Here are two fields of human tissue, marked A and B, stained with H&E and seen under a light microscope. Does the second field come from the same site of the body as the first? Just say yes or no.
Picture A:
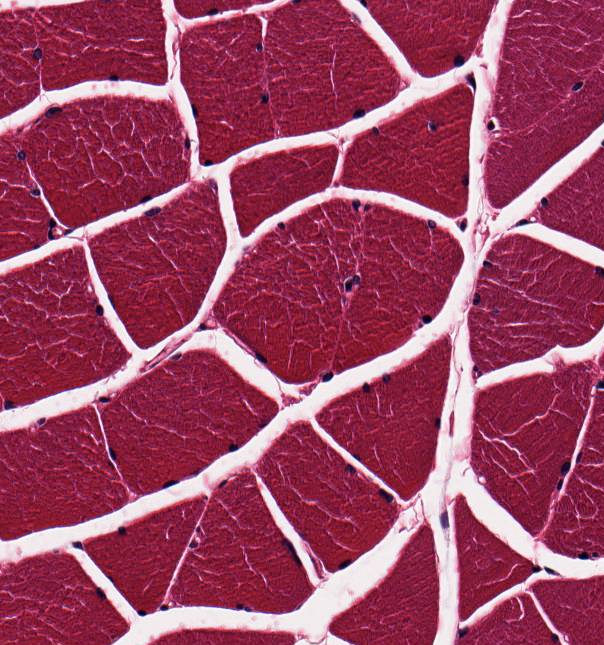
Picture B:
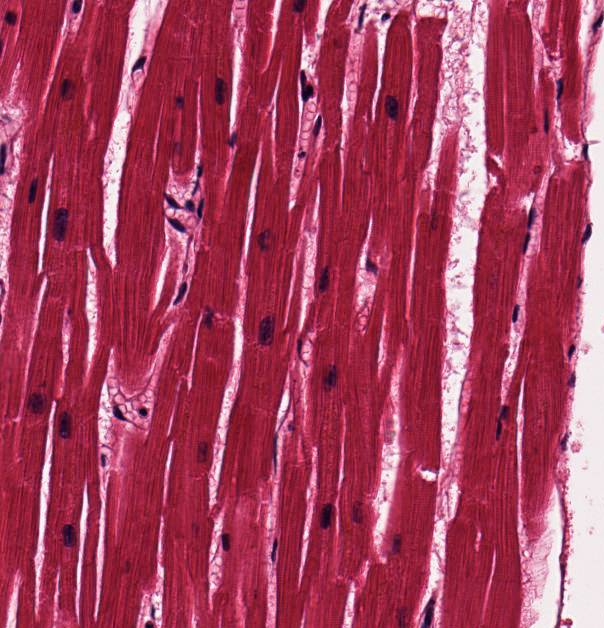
no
